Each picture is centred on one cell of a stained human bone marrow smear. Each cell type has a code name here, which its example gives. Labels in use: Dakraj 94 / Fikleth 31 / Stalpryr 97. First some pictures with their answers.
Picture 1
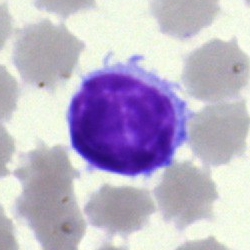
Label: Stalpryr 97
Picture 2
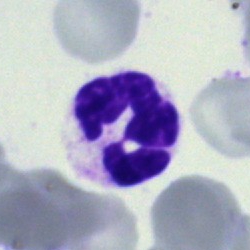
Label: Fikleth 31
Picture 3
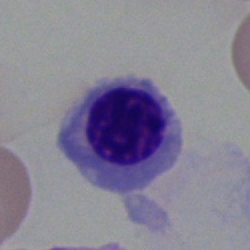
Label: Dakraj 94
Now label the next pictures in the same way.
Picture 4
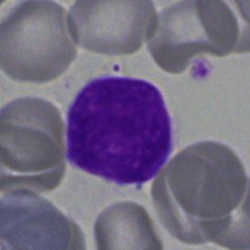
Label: Stalpryr 97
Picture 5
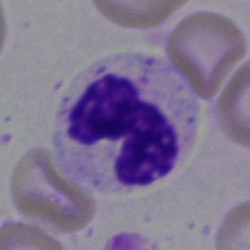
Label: Fikleth 31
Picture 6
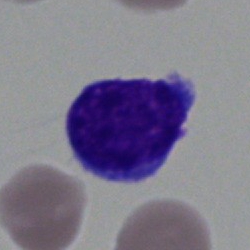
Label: Stalpryr 97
